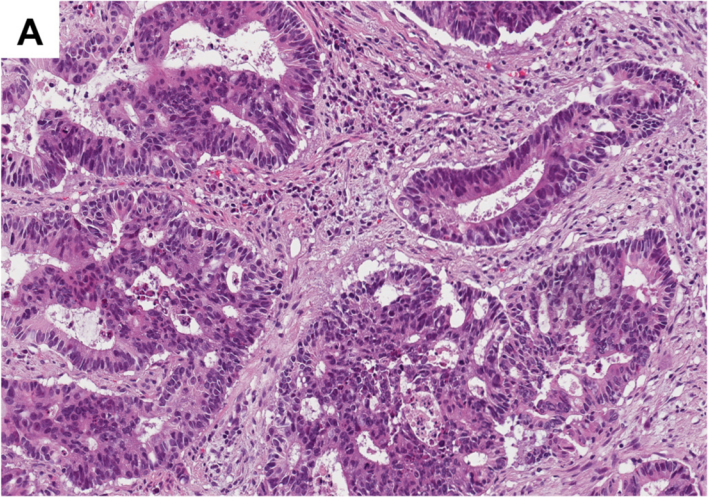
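This is colorectal adenocarcinoma, built of irregular, branching and cribriform glands in a fibrous, cellular stroma. The glands are lined by crowded columnar cells with elongated, dark purple, stratified nuclei and pink cytoplasm. The gland lumina contain pale pink debris, and the stroma holds spindle-shaped cells and scattered inflammatory cells.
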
